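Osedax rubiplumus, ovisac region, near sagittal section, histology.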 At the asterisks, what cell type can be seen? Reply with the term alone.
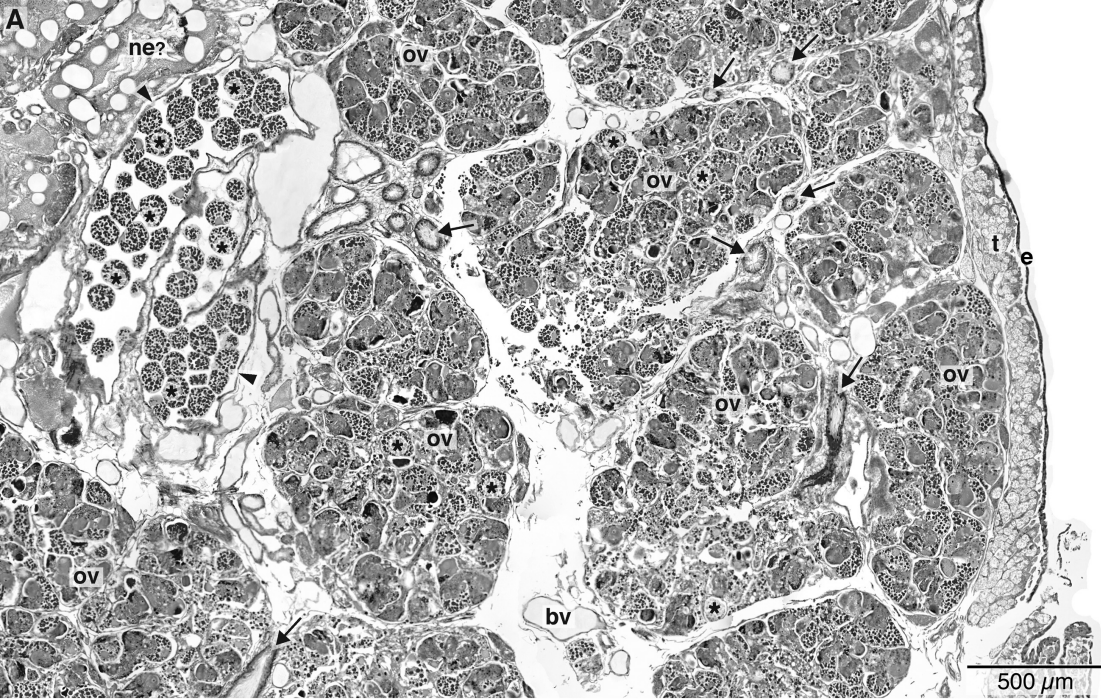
mature oocytes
